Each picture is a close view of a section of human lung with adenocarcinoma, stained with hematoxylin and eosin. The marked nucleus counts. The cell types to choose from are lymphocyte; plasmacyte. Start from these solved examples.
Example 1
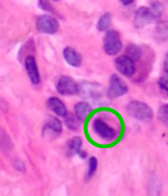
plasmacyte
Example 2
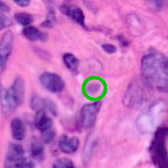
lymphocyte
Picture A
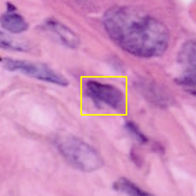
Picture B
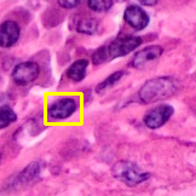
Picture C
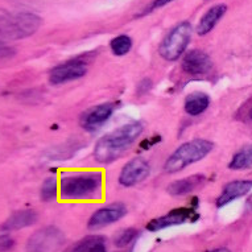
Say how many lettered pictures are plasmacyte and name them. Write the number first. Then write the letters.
3: A, B, C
